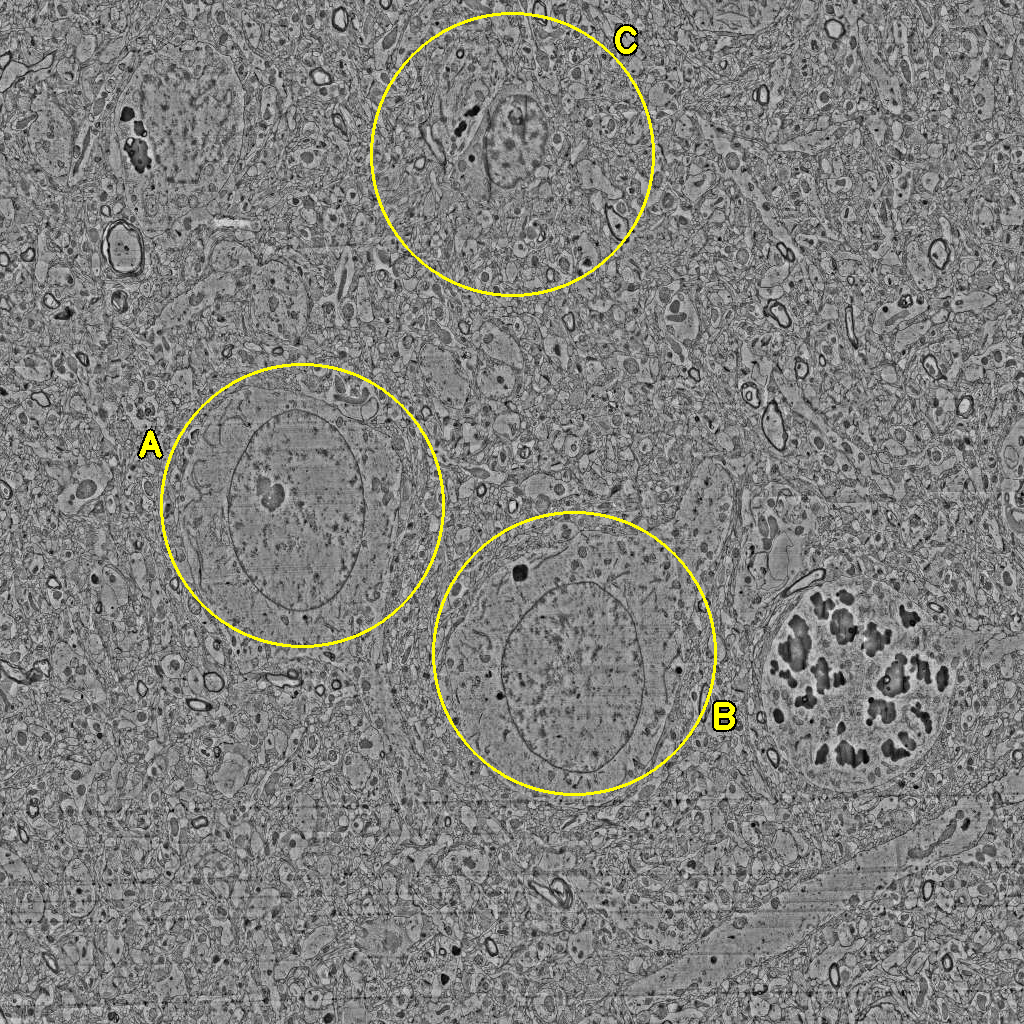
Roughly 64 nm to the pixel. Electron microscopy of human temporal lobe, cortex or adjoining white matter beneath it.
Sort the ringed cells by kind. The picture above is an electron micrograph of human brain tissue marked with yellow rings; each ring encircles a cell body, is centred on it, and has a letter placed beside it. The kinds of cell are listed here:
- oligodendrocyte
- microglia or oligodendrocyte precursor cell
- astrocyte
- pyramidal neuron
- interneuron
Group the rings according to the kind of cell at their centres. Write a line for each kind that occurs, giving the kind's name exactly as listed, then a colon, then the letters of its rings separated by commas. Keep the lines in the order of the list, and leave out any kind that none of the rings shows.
oligodendrocyte: C
pyramidal neuron: A, B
